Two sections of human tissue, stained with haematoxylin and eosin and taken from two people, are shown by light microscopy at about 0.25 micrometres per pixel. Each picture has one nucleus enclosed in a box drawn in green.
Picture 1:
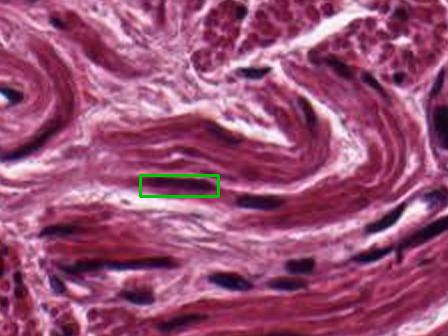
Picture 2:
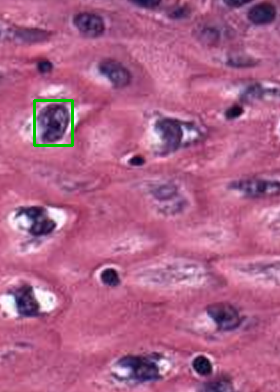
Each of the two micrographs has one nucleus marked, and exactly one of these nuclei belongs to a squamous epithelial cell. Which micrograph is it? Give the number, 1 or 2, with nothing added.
2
